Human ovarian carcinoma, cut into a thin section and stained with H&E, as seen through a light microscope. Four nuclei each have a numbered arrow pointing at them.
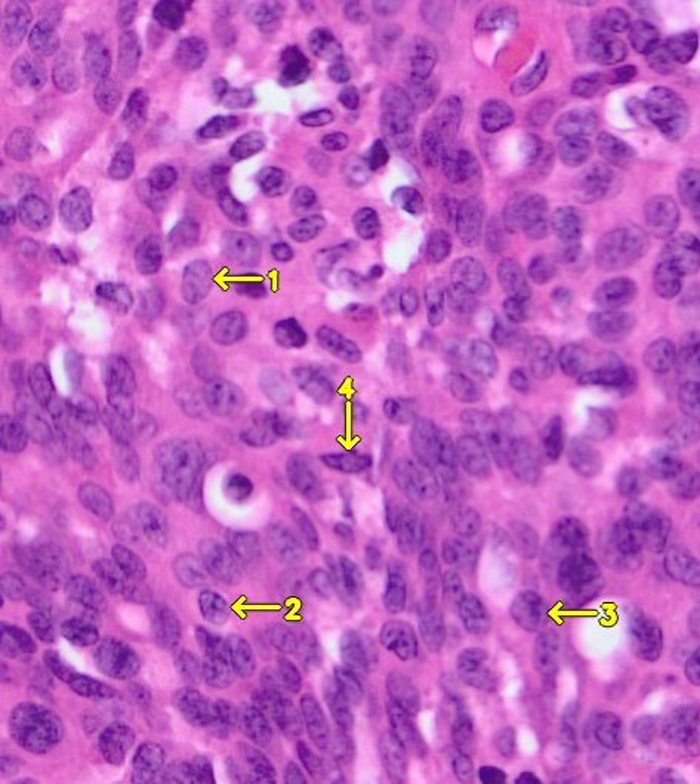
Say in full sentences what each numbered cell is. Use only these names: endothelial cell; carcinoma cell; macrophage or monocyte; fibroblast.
Cells 1, 2 and 4 are macrophages or monocytes. Cell 3 is a carcinoma cell.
